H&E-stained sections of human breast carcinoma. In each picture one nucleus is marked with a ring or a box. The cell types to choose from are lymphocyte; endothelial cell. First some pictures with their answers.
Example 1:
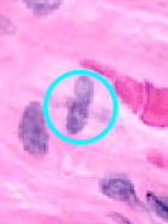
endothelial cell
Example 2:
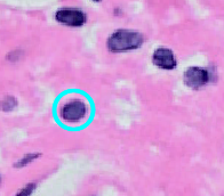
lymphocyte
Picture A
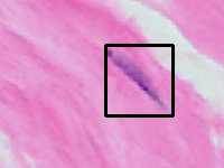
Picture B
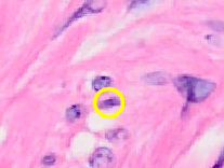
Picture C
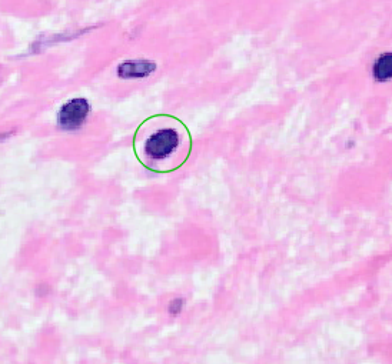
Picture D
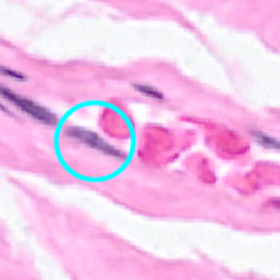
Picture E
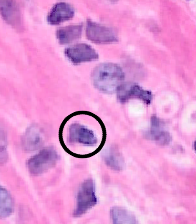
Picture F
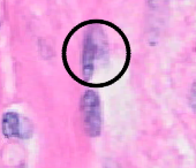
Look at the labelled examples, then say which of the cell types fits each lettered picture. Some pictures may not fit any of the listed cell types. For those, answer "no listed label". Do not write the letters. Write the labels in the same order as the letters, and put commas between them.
no listed label, endothelial cell, lymphocyte, endothelial cell, lymphocyte, endothelial cell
